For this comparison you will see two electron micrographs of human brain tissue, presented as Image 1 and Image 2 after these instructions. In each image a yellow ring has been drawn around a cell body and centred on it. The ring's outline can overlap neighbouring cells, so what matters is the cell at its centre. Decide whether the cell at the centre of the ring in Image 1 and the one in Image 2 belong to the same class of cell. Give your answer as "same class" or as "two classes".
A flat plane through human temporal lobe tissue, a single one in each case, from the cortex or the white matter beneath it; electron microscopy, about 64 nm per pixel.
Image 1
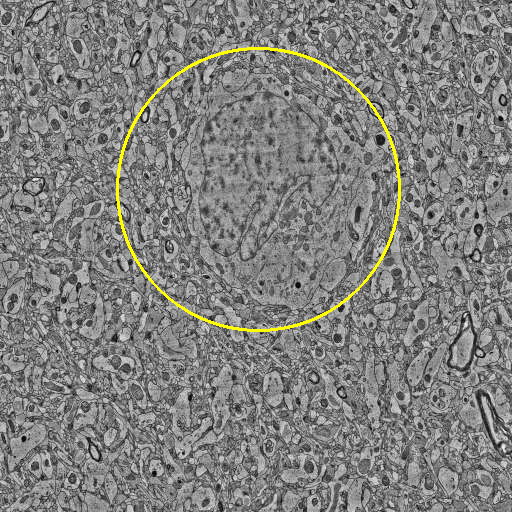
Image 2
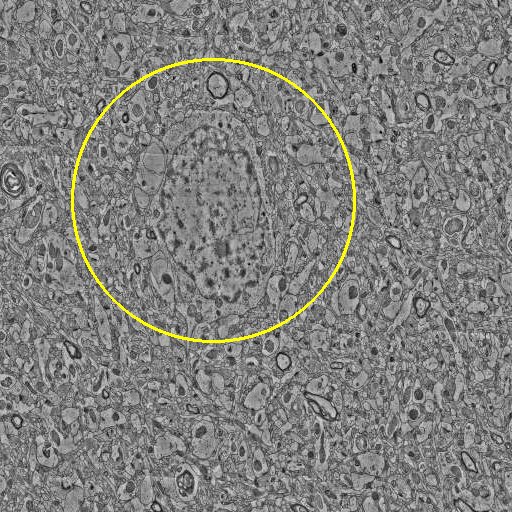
same class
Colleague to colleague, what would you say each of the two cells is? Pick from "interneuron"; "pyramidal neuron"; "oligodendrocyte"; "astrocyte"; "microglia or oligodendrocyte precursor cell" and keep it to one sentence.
The second cell is an interneuron, just as the first is.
